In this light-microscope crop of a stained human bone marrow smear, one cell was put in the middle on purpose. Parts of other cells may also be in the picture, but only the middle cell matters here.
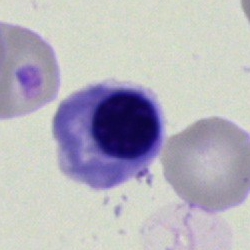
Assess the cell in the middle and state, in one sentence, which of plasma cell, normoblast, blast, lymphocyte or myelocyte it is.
In short, the cell at the center is a normoblast.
